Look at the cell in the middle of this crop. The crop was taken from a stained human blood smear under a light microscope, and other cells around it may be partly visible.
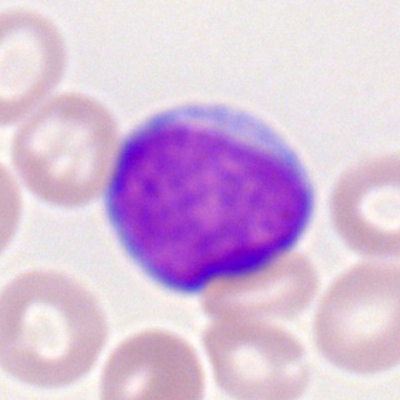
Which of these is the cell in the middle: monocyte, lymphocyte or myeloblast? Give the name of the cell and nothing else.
myeloblast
